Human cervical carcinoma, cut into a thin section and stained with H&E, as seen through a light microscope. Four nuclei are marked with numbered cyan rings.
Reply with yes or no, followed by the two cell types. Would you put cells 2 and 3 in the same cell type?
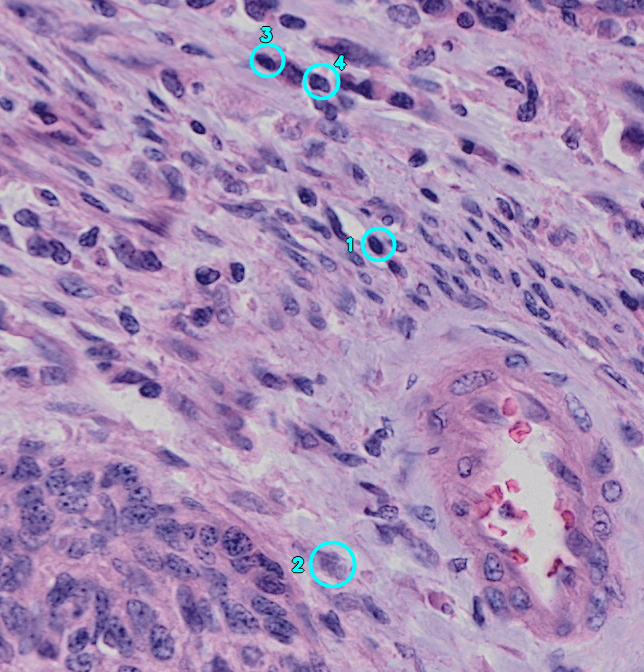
No, cell 2 is recognized as a fibroblast, and cell 3 as a lymphocyte.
